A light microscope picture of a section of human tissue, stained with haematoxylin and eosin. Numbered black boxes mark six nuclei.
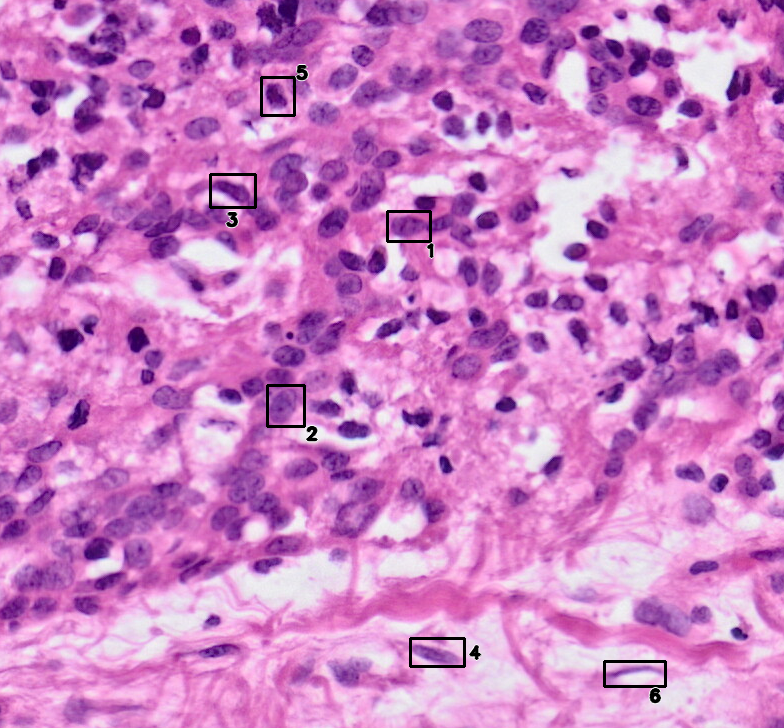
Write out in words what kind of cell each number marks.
Cell 1 is a carcinoma cell, cell 2 is a carcinoma cell, cell 3 is a carcinoma cell, cell 4 is a fibroblast, cell 5 is a carcinoma cell and cell 6 is a fibroblast.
